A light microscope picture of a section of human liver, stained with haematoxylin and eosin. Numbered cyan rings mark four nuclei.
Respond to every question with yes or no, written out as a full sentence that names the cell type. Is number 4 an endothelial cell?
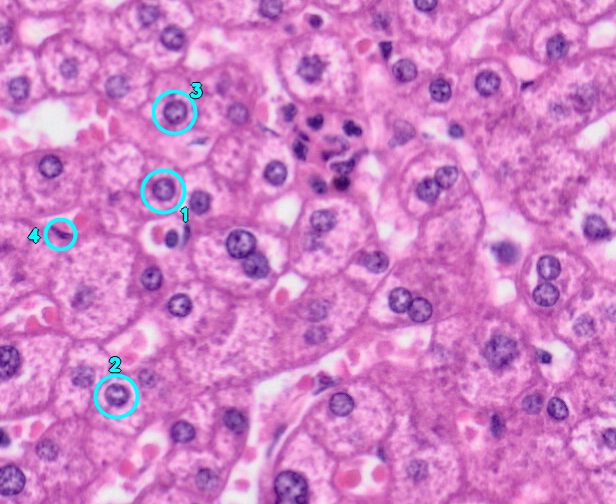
Yes, the number 4 belongs to an endothelial cell.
